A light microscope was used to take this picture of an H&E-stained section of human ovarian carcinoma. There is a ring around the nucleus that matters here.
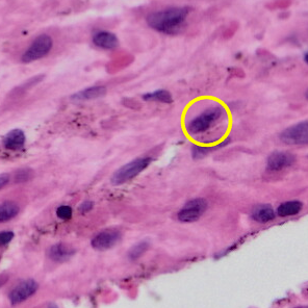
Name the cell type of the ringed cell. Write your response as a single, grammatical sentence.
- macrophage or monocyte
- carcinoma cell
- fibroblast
In short, the ringed cell on this section is a fibroblast.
